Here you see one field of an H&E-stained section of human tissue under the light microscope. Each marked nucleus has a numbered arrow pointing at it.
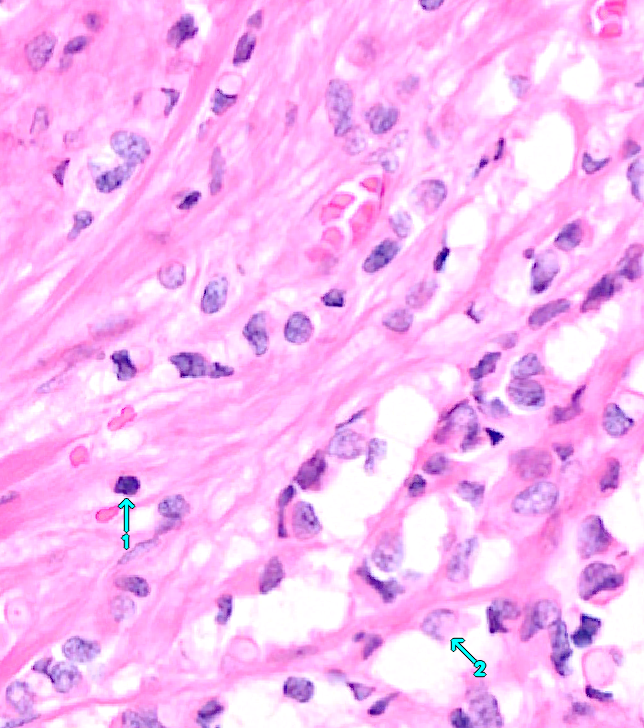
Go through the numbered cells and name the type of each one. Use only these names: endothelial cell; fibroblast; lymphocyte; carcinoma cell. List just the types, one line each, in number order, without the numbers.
lymphocyte
carcinoma cell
